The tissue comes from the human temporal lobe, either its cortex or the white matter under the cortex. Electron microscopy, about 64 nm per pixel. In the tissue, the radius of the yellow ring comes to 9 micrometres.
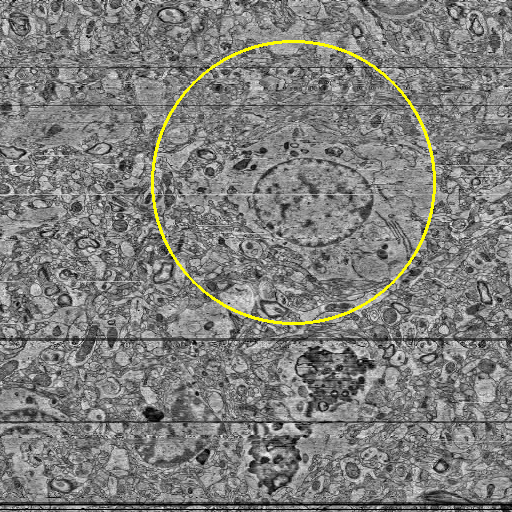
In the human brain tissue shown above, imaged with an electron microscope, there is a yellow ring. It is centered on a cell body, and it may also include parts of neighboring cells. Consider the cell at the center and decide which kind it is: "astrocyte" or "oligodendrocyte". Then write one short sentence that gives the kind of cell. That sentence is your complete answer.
This centered cell body is that of an astrocyte.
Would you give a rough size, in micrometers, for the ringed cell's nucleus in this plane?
About 8 by 6 micrometers, in this plane.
